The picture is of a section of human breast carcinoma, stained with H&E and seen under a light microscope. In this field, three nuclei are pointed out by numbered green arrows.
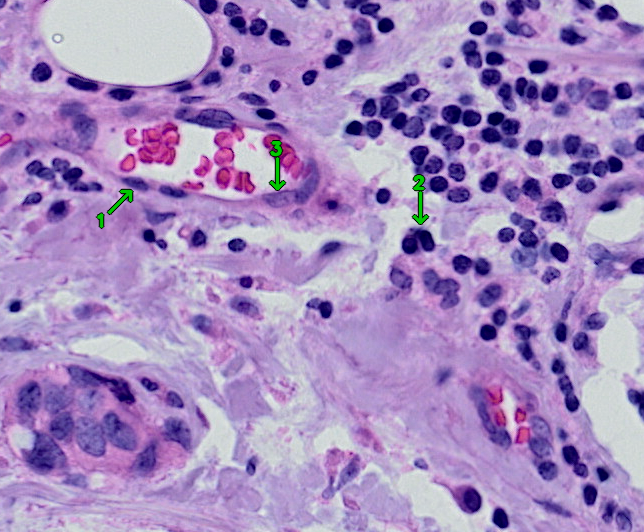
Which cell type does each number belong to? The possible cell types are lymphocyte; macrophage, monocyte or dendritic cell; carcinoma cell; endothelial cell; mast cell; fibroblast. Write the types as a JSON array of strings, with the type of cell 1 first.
["endothelial cell", "lymphocyte", "endothelial cell"]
